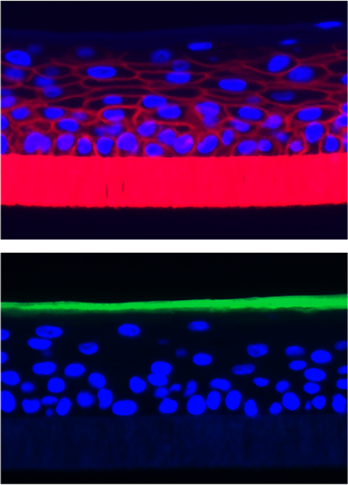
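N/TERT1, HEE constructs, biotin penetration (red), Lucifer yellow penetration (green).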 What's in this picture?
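A multilayered sheet of epidermal keratinocytes rests on a thick, evenly red-stained support layer. In the upper image, red outlines surround the cells in the lower and middle layers, giving a net-like pattern, and fades toward the top. Lower cells have crowded, rounded blue nuclei, while nuclei higher up are fewer and flatter. In the lower image a thin bright green line runs along the top surface, with no green among the cells beneath.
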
